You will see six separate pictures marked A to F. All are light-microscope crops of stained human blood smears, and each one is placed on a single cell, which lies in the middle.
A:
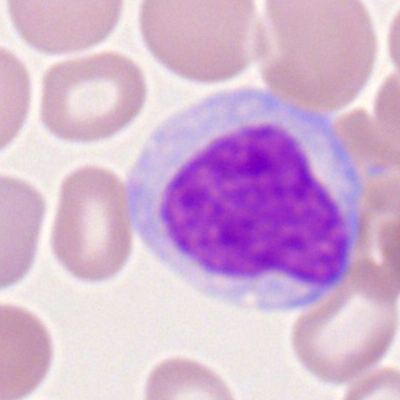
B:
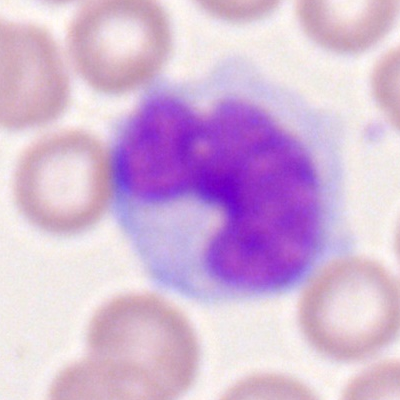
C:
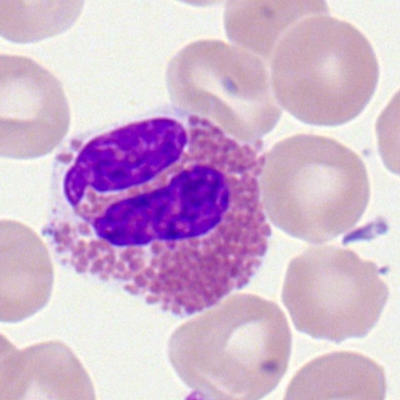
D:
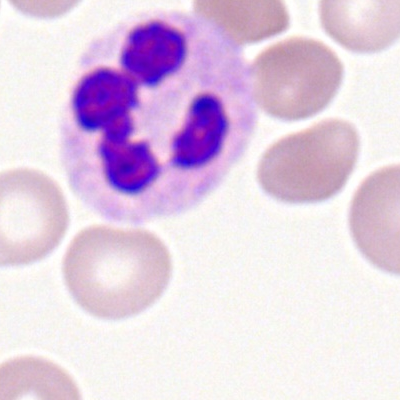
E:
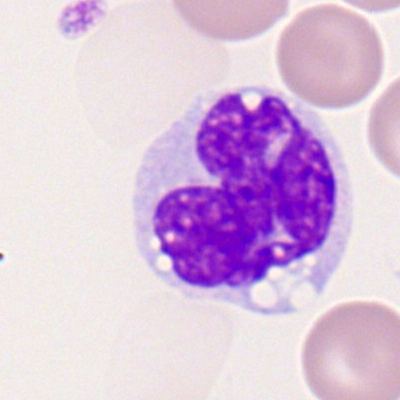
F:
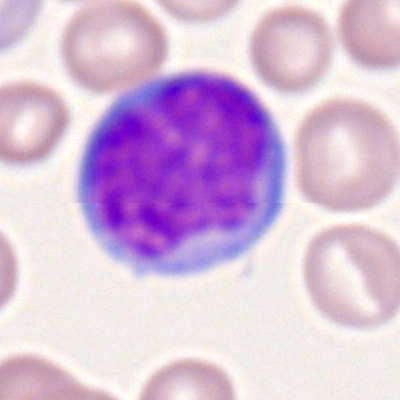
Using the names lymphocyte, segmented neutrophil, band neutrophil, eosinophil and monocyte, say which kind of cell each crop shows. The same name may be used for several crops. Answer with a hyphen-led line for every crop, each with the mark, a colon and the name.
- A: monocyte
- B: monocyte
- C: eosinophil
- D: segmented neutrophil
- E: monocyte
- F: monocyte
